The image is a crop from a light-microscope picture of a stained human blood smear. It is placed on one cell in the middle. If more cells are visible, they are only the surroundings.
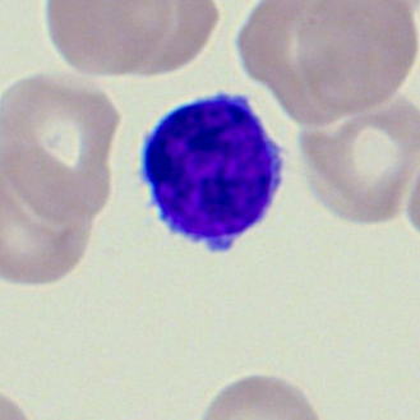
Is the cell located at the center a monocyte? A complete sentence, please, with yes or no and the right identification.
No, the central cell is identified not as a monocyte but as a lymphocyte.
